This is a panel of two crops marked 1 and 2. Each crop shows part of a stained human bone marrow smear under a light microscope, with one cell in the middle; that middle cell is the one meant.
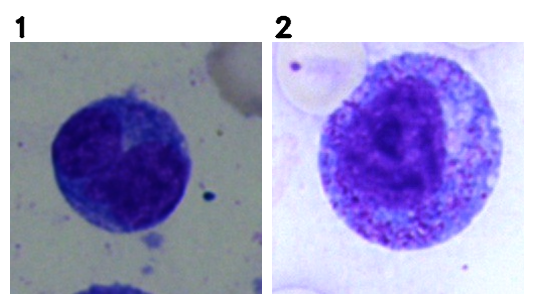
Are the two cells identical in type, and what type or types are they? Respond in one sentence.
No, a blast is in crop 1, and a promyelocyte is in crop 2.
